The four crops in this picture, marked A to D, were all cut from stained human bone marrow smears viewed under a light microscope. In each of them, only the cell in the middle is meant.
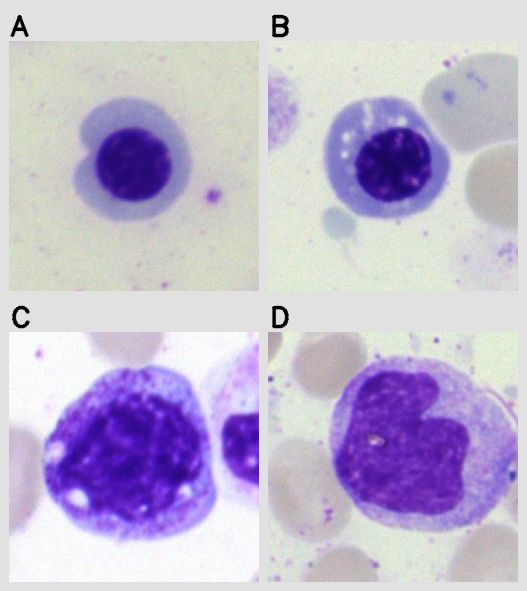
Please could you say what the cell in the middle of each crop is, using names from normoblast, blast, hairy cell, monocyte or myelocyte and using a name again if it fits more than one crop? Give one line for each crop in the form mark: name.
A: normoblast
B: normoblast
C: myelocyte
D: monocyte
